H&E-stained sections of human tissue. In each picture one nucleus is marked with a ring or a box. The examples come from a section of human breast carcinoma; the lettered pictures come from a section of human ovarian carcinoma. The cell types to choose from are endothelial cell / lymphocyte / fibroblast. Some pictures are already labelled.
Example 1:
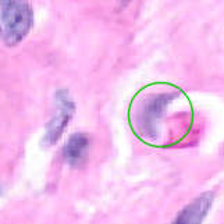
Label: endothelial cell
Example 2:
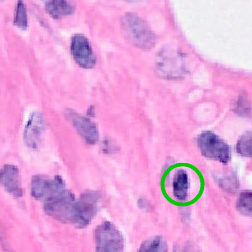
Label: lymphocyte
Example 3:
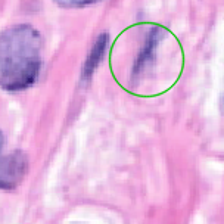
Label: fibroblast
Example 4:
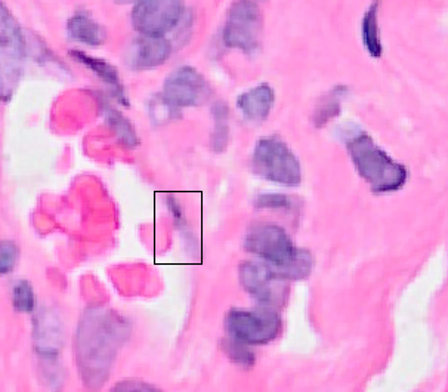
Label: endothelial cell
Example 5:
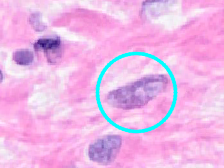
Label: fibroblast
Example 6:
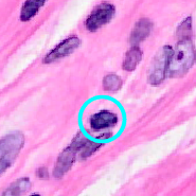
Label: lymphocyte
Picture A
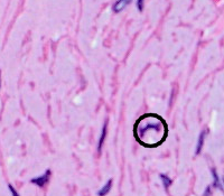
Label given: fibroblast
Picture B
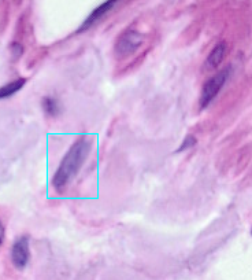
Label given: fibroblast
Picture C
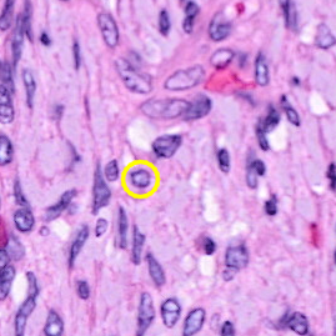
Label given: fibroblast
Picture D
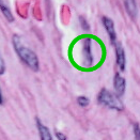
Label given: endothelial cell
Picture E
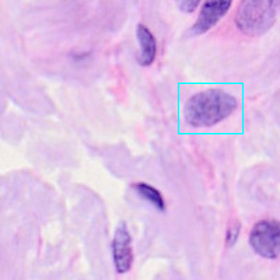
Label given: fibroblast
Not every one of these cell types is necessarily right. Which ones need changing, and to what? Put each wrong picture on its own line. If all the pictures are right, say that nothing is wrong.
D: fibroblast, not endothelial cell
